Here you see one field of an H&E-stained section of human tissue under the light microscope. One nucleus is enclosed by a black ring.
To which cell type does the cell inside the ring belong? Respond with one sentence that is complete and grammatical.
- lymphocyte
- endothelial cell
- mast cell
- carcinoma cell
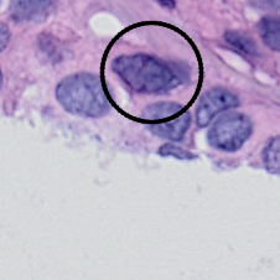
It is as a carcinoma cell that the cell inside the ring is recorded.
